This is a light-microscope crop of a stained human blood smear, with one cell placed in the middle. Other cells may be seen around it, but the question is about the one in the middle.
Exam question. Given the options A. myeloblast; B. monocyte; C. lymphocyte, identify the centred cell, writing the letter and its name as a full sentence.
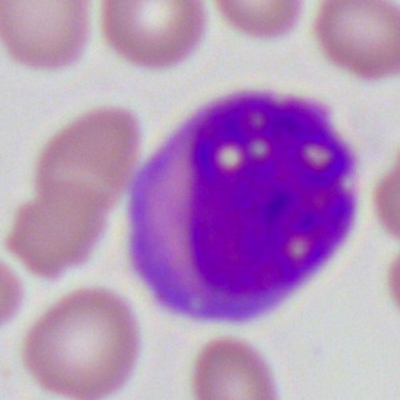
Option A is correct in naming the middle cell a myeloblast.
